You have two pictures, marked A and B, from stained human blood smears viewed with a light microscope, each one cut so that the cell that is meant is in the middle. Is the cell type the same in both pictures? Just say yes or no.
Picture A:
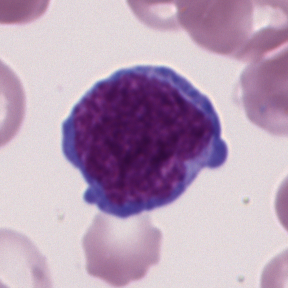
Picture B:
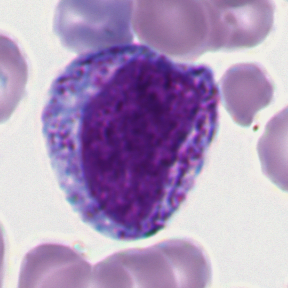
no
